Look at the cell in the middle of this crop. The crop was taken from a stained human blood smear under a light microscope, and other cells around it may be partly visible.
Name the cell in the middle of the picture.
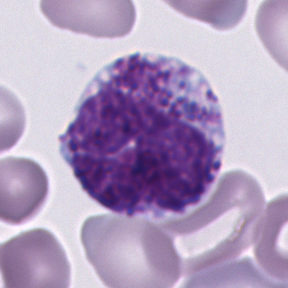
basophil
